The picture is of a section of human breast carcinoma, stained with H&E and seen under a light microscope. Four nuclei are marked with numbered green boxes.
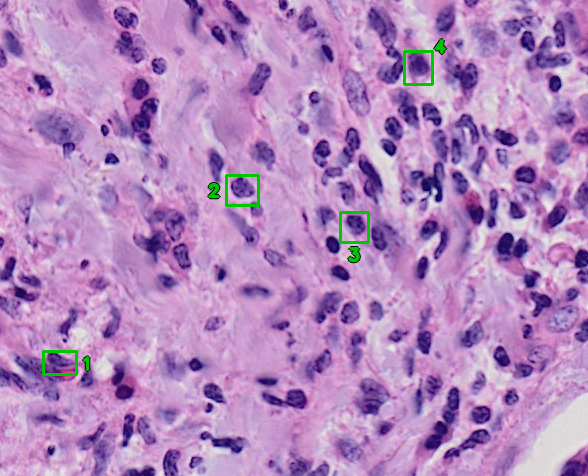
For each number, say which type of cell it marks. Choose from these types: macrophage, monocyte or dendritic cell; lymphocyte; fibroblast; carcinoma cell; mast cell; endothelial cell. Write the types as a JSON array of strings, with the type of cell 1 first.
["endothelial cell", "lymphocyte", "lymphocyte", "lymphocyte"]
